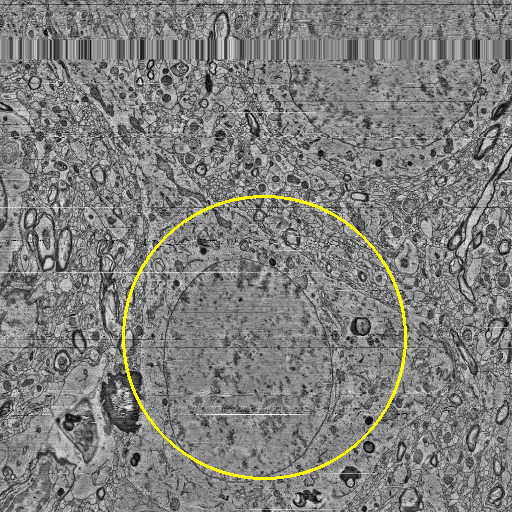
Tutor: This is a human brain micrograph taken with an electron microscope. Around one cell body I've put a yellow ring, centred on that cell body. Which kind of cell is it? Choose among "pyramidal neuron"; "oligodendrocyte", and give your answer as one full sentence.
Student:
Going by your list, the cell centred in the yellow ring is a pyramidal neuron.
